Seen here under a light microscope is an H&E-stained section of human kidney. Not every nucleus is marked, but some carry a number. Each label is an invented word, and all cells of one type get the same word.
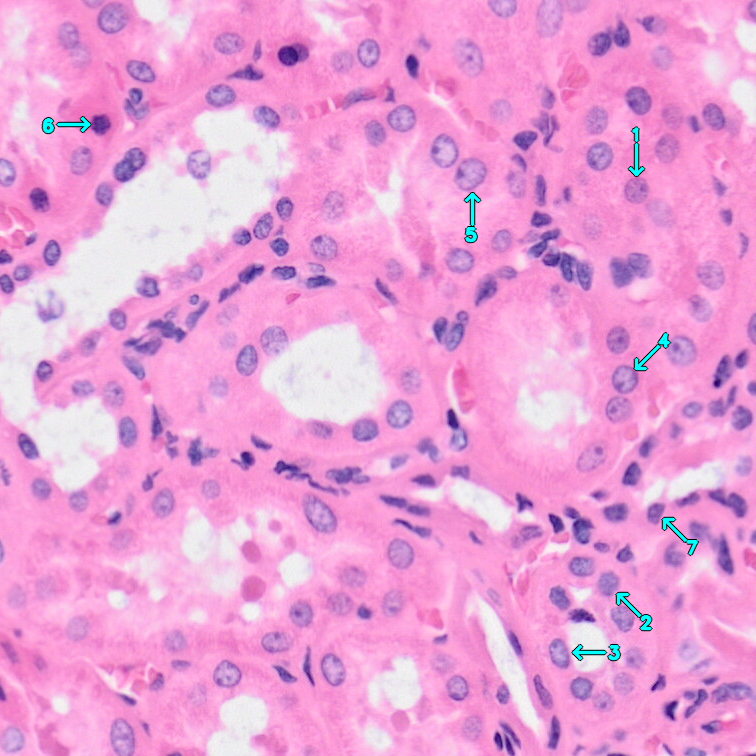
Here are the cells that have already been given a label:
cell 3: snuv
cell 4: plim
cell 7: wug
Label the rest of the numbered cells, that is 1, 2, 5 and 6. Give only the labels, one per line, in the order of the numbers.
plim
snuv
plim
plim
